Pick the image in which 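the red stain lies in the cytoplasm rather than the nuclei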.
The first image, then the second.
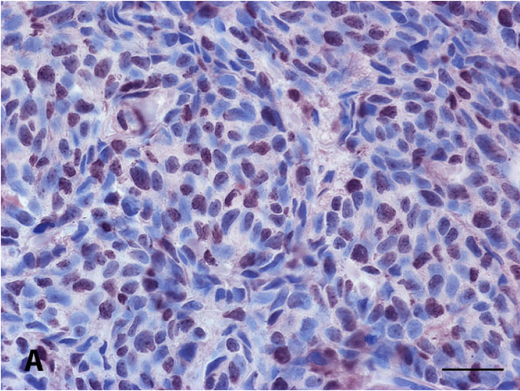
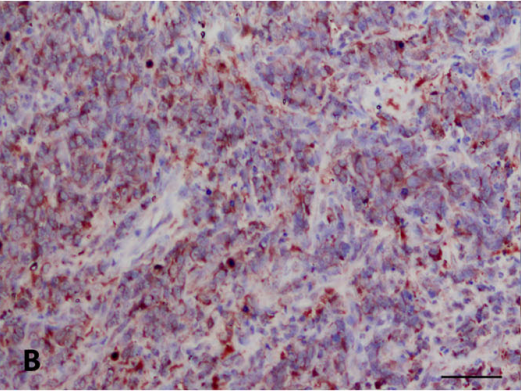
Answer: the second image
